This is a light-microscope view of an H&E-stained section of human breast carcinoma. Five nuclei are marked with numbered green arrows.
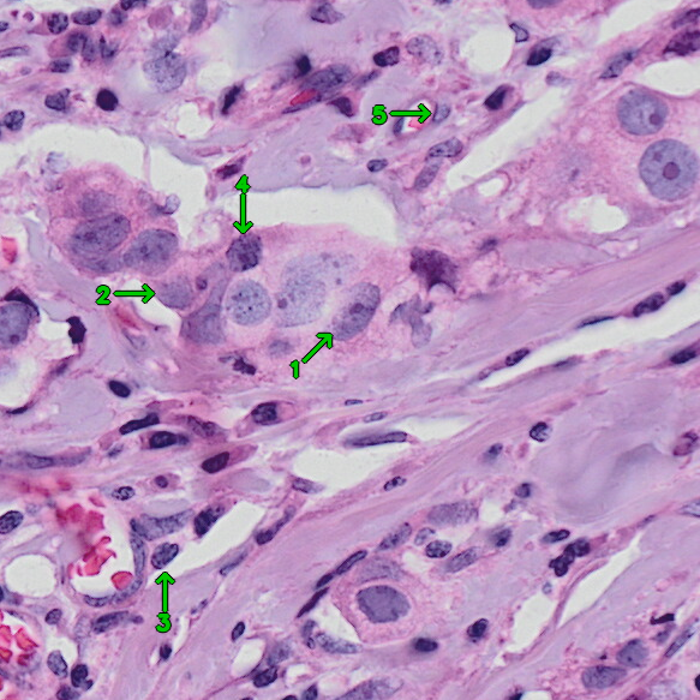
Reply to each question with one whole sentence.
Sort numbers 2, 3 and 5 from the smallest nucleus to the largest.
From smallest to largest, the order is 5, 3, 2.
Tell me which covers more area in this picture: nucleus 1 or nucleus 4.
Nucleus 1 is the larger one, covering about 2 times the area of nucleus 4.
